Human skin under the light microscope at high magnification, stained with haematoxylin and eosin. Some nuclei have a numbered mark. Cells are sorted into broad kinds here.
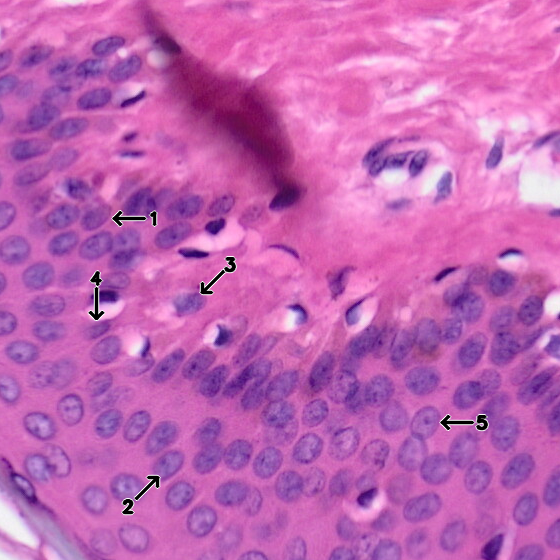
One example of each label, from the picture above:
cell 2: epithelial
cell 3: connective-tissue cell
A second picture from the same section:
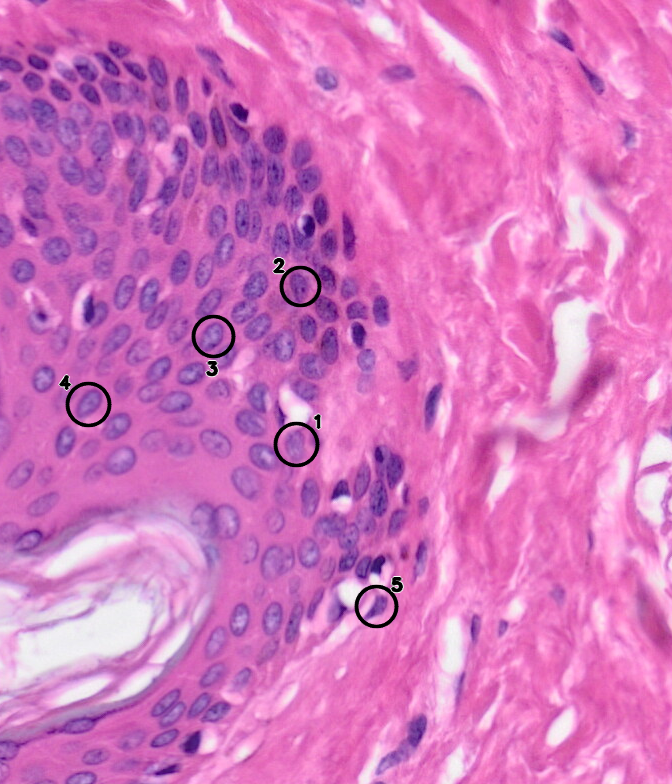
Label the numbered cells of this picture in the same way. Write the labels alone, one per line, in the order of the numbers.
epithelial
epithelial
epithelial
epithelial
connective-tissue cell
